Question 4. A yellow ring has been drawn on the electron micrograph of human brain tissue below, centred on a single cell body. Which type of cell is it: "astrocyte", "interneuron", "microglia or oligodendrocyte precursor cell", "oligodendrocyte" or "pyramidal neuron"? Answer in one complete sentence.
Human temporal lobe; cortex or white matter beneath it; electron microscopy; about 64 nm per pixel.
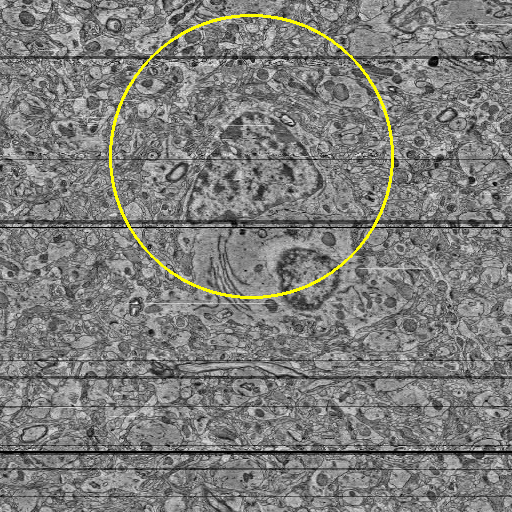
This cell body belongs to a microglial cell or oligodendrocyte precursor cell.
